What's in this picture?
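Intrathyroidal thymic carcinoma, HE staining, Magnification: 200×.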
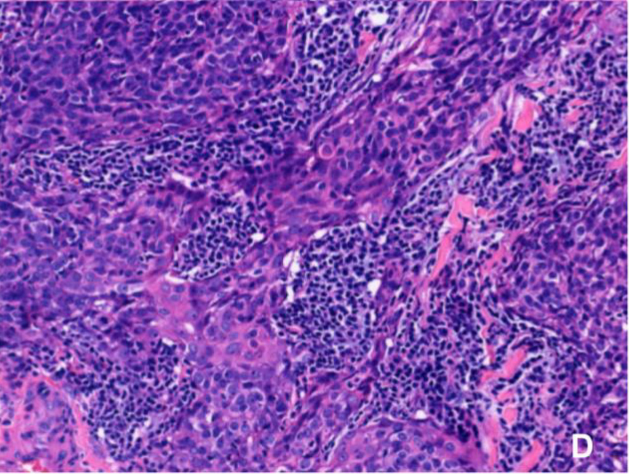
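This field shows nests of tumor cells with lymphocytes gathered around them. The tumor cells are large, with pink cytoplasm and pale oval nuclei, and form irregular nests. Between and around the nests lie dense clusters of small lymphocytes with round, dark nuclei and scant cytoplasm, with a few thin pink strands of stroma.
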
